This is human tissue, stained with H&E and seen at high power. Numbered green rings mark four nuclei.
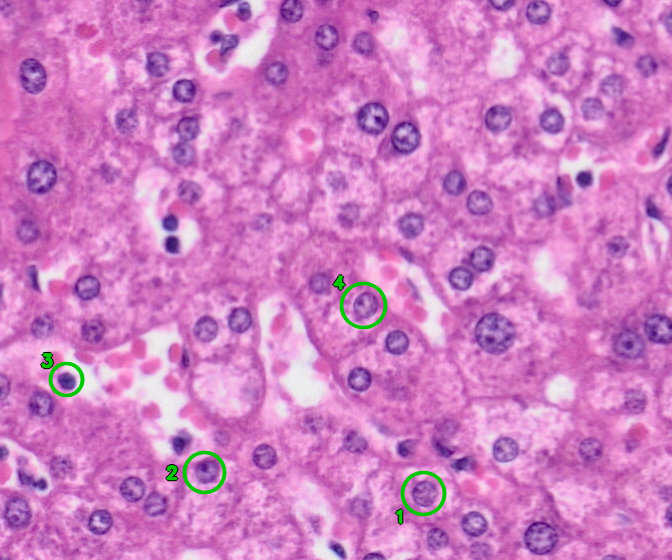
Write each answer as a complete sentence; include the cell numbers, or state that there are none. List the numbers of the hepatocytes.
The cells numbered 1, 2 and 4 are typed as hepatocytes.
